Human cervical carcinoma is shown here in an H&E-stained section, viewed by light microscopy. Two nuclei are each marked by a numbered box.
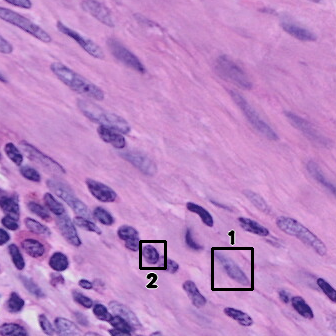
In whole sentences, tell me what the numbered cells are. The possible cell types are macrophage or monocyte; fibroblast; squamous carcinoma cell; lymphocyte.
Cell 1 is a fibroblast and cell 2 is a lymphocyte.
